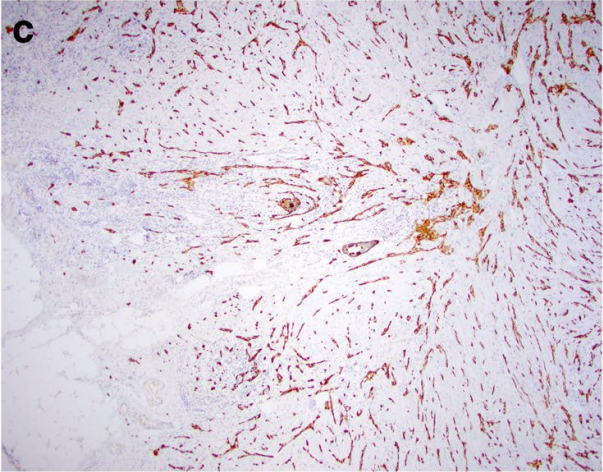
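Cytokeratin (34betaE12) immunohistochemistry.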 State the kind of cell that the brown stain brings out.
Malignant epithelial cells.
